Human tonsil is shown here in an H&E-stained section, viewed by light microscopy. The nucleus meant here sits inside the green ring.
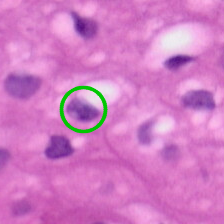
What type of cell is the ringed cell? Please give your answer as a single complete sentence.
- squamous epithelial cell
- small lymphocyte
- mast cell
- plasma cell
In this section, the ringed cell is a squamous epithelial cell.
